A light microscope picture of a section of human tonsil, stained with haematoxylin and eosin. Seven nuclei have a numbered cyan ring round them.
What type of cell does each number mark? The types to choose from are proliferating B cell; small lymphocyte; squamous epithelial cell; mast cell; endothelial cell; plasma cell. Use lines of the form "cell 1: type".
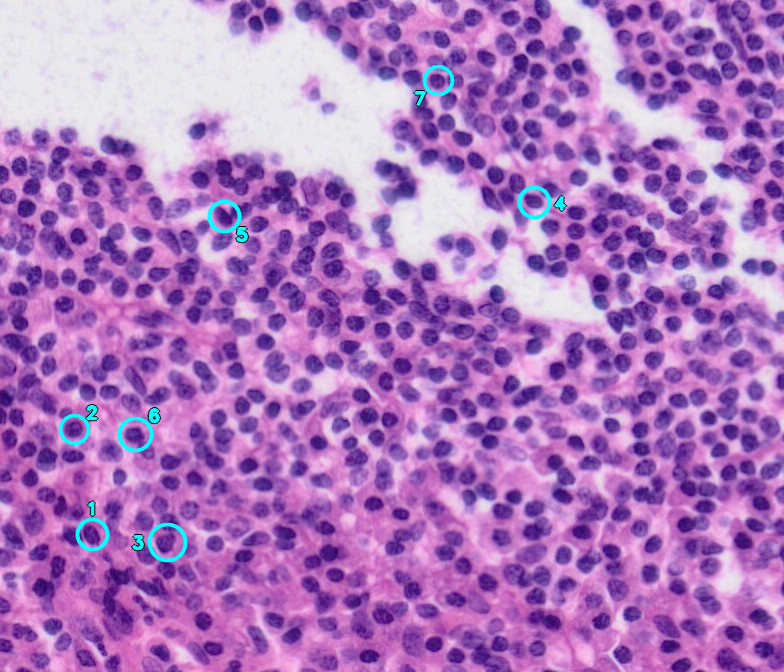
cell 1: plasma cell
cell 2: plasma cell
cell 3: plasma cell
cell 4: small lymphocyte
cell 5: small lymphocyte
cell 6: plasma cell
cell 7: small lymphocyte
